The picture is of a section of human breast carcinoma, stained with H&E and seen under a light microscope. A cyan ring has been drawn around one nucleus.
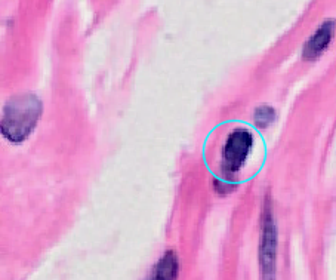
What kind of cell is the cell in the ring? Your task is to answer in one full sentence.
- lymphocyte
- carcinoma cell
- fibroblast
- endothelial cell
Within this tissue, the cell in the ring is a lymphocyte.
